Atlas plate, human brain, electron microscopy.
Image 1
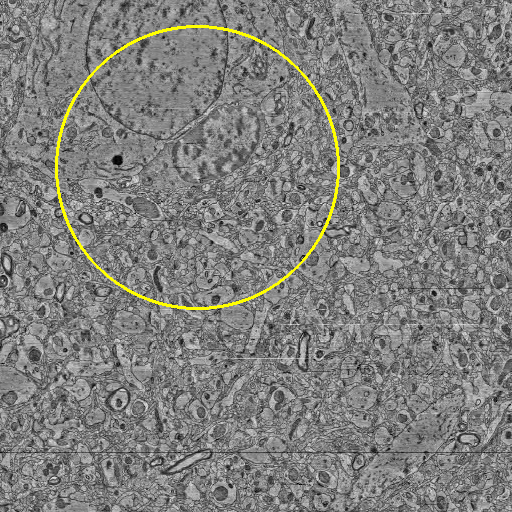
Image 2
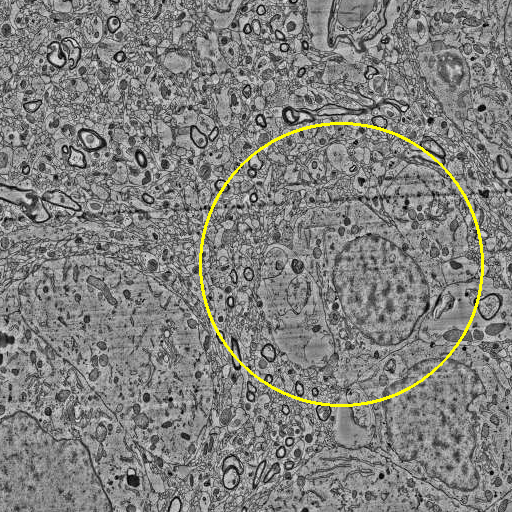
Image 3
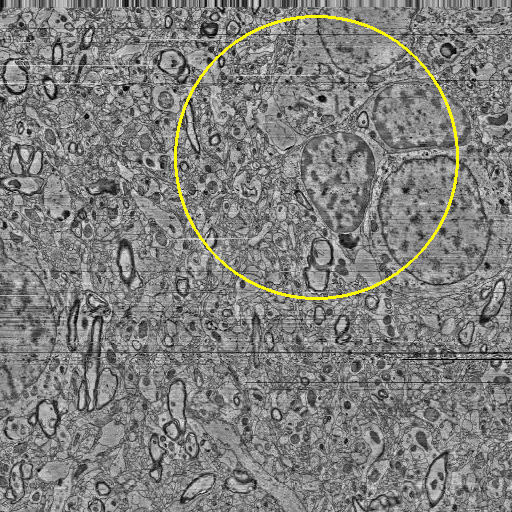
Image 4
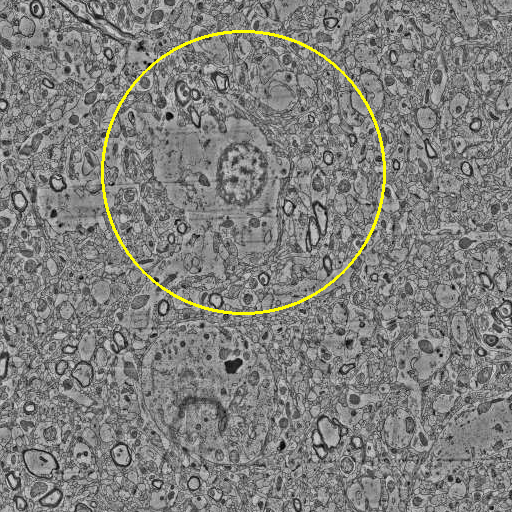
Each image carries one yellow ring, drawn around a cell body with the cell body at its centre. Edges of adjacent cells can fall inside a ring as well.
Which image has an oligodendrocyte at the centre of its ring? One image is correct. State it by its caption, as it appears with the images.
Image 1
